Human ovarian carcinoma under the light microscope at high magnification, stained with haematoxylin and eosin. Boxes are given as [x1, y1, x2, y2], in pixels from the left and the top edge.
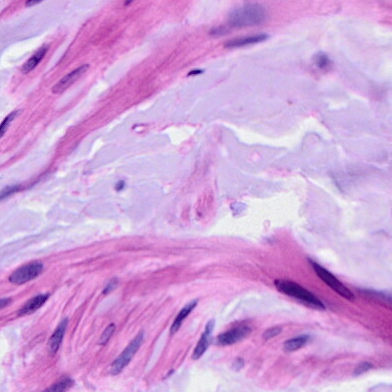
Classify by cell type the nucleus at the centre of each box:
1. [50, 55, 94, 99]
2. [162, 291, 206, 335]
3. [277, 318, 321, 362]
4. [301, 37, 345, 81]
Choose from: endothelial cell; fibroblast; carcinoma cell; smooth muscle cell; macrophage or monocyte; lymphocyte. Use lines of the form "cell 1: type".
cell 1: smooth muscle cell
cell 2: smooth muscle cell
cell 3: smooth muscle cell
cell 4: fibroblast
